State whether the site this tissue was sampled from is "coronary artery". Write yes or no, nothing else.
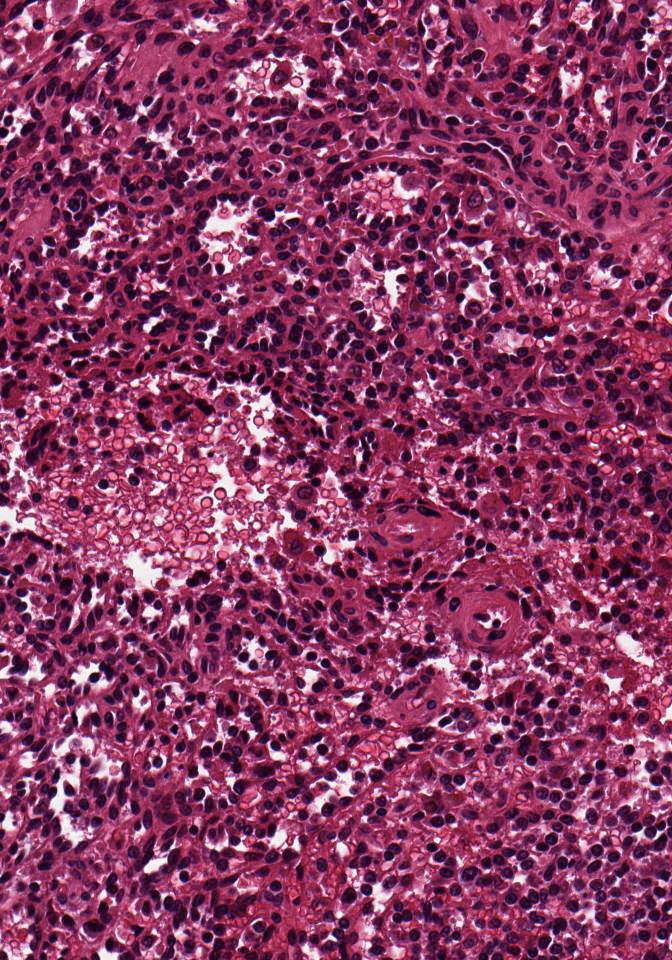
no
